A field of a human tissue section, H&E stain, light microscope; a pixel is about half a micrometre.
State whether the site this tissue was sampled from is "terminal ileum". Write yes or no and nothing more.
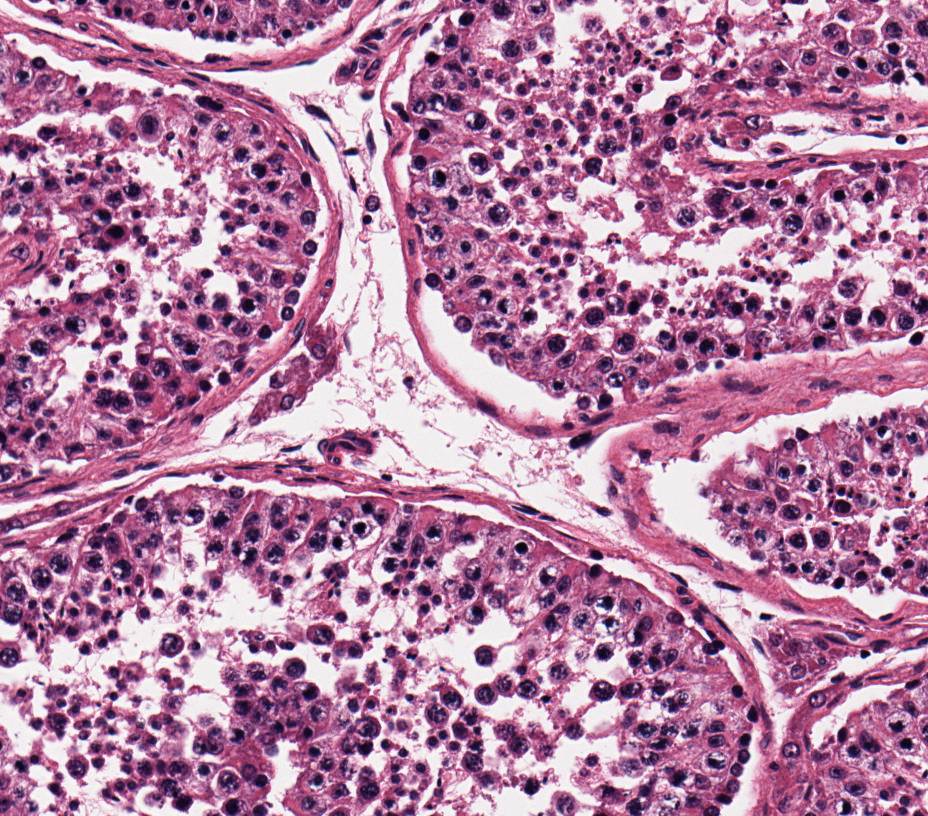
no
